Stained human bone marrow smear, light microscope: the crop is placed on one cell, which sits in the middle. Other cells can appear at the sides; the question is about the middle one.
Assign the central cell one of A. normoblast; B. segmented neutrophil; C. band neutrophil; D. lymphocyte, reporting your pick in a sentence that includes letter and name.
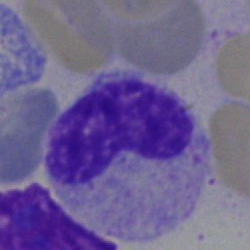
It is a band neutrophil that occupies the centre of the crop, so option C is correct.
